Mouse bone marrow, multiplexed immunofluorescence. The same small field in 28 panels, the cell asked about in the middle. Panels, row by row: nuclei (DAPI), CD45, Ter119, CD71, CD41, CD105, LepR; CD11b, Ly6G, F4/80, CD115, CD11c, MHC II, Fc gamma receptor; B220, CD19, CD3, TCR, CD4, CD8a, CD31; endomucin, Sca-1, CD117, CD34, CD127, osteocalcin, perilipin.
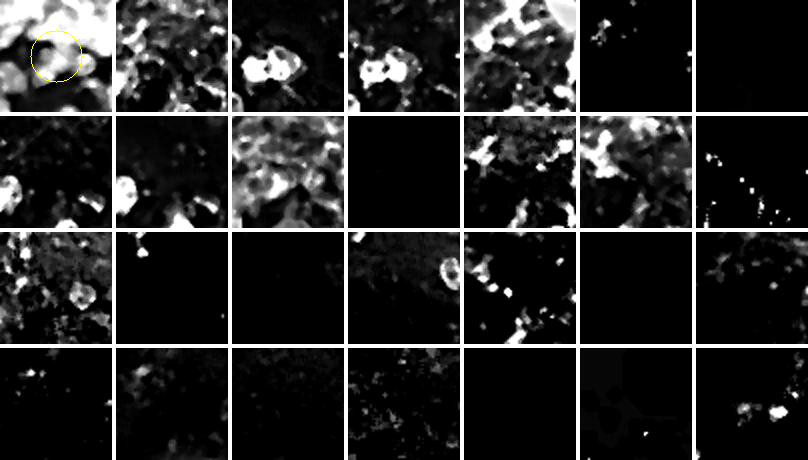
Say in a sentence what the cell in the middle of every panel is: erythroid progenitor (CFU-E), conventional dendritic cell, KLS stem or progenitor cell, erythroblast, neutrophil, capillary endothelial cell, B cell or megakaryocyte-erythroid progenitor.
This is an erythroblast.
